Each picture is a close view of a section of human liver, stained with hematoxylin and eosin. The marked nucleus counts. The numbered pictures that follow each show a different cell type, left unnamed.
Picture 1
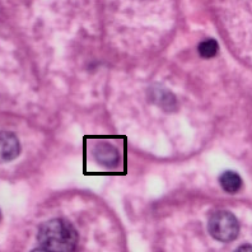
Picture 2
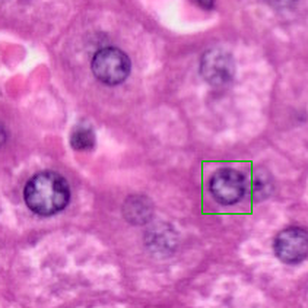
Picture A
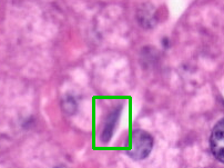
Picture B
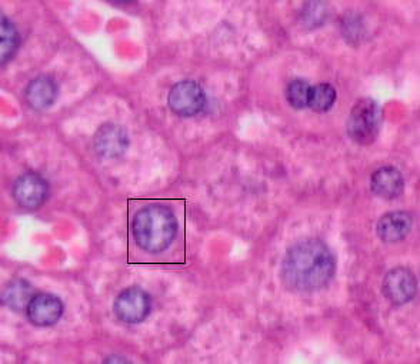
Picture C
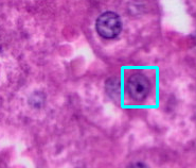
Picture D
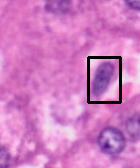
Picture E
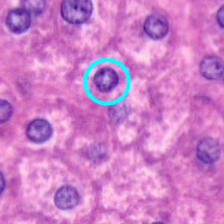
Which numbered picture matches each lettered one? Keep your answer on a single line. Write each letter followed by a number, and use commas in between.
A 1, B 2, C 2, D 1, E 2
